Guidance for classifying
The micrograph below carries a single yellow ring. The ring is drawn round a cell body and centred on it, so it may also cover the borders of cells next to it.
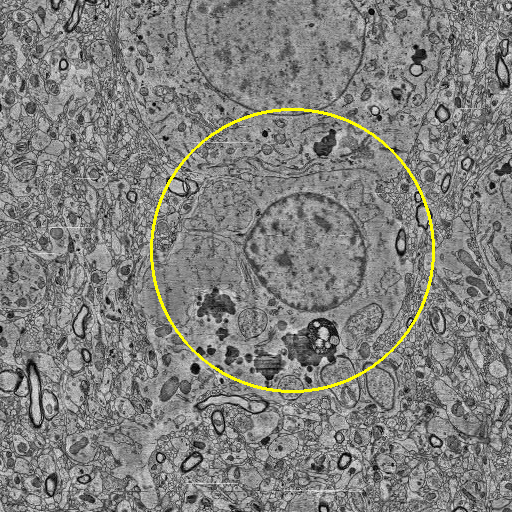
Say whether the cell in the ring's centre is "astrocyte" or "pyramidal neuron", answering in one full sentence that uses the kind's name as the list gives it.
Within the yellow ring, an astrocyte is the cell whose body sits at the centre.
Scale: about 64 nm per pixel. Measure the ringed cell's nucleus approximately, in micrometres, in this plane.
The nucleus is approximately 7 micrometers across in this plane.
